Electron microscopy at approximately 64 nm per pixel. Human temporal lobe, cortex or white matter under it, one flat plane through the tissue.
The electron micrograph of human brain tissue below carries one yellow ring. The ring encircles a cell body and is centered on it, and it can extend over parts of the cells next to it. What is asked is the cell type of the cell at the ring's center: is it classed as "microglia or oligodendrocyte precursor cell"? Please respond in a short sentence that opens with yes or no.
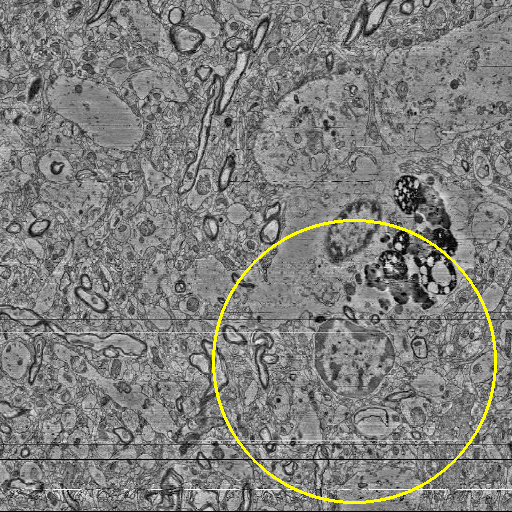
Yes, it is classed that way.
